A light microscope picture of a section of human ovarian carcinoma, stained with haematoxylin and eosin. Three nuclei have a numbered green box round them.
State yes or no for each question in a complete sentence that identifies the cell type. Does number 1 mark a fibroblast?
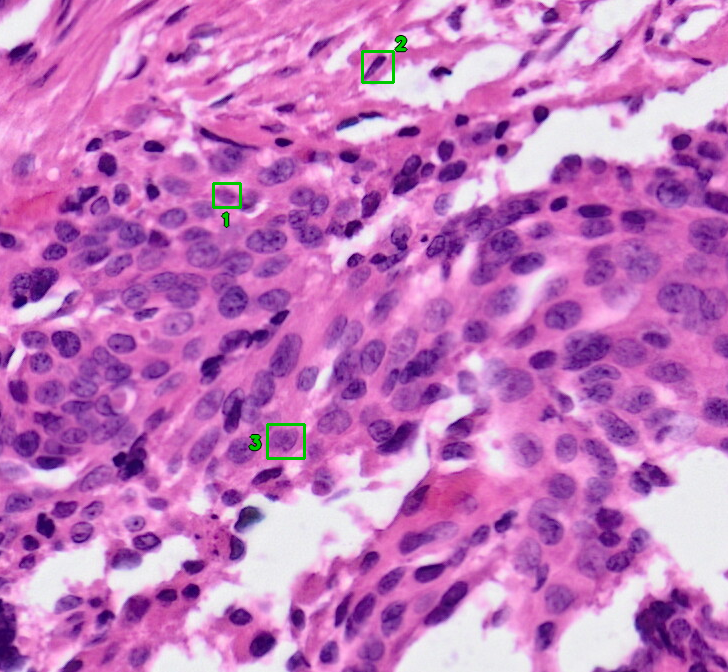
No, the cell that carries number 1 is a carcinoma cell, not a fibroblast.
